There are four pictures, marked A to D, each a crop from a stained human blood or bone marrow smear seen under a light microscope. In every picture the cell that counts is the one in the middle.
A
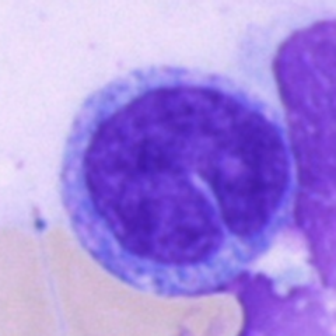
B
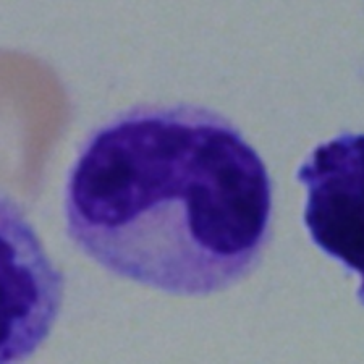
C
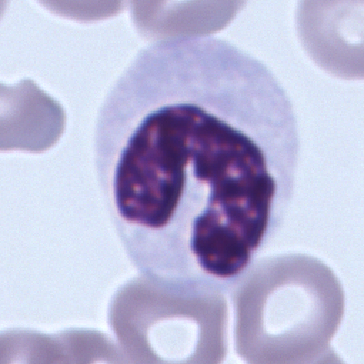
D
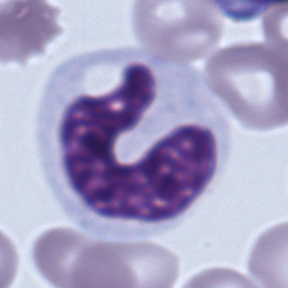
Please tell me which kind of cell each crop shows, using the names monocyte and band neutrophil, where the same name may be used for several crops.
A: monocyte
B: band neutrophil
C: band neutrophil
D: band neutrophil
